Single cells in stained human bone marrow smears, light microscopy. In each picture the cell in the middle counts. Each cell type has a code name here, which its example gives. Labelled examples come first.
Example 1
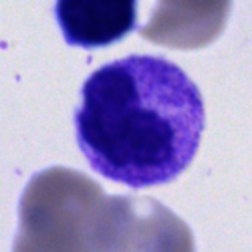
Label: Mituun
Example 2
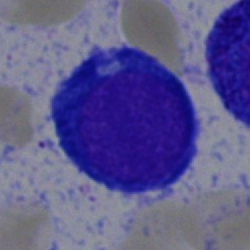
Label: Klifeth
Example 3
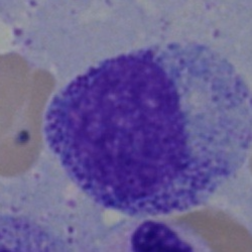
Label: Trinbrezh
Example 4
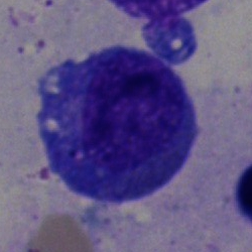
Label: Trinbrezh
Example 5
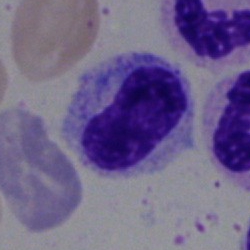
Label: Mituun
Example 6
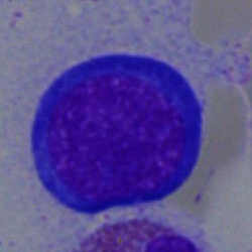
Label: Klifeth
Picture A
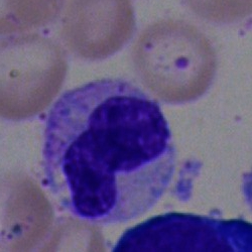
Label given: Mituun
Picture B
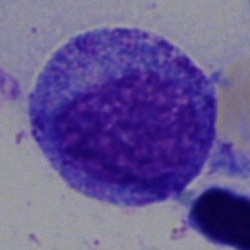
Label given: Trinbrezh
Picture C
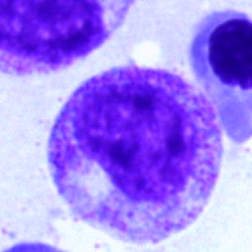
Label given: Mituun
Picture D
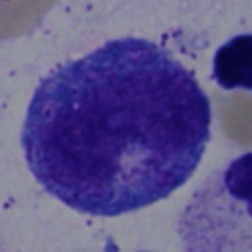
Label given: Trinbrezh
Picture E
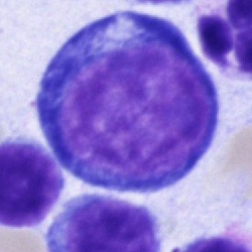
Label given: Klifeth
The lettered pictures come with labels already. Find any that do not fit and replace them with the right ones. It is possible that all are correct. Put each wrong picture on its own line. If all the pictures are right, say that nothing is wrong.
No label is wrong.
